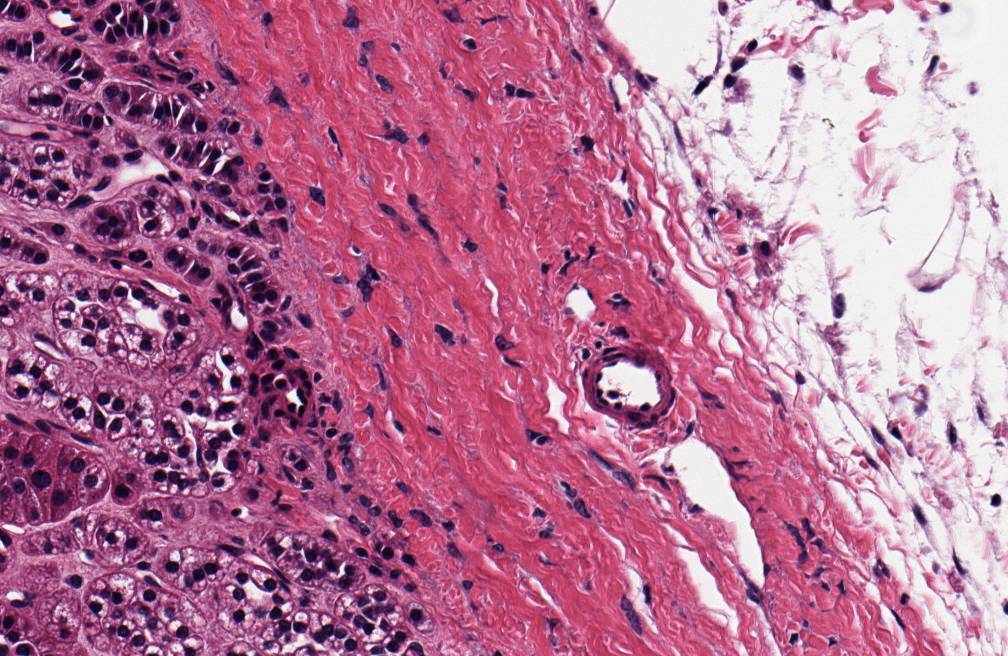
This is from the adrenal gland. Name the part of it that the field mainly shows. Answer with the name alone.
dense connective tissue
